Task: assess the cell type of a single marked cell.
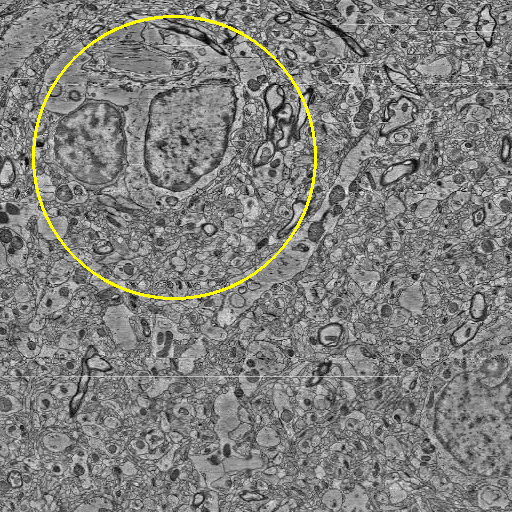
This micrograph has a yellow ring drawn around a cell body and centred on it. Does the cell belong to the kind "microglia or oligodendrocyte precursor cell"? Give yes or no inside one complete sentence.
Yes, the marked cell at the centre of the ring belongs to that kind.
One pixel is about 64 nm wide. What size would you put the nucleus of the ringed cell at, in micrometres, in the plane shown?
Approximately 8 x 6 micrometres in this plane.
